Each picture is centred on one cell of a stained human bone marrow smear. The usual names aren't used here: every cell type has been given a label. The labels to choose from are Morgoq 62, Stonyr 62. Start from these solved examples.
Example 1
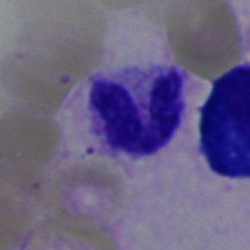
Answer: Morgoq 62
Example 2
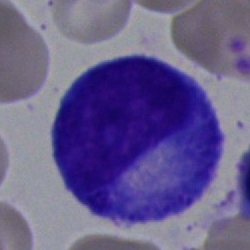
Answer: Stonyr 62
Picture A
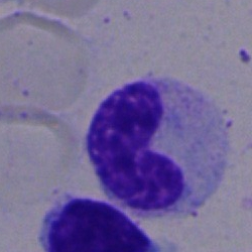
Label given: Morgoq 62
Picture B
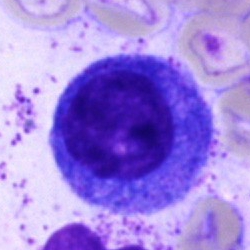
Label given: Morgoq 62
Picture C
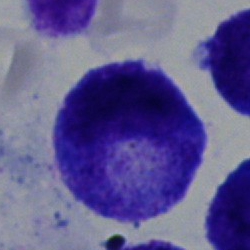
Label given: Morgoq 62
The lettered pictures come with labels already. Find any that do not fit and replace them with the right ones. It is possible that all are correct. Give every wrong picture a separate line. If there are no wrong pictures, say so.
B: not Morgoq 62 but Stonyr 62
C: not Morgoq 62 but Stonyr 62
